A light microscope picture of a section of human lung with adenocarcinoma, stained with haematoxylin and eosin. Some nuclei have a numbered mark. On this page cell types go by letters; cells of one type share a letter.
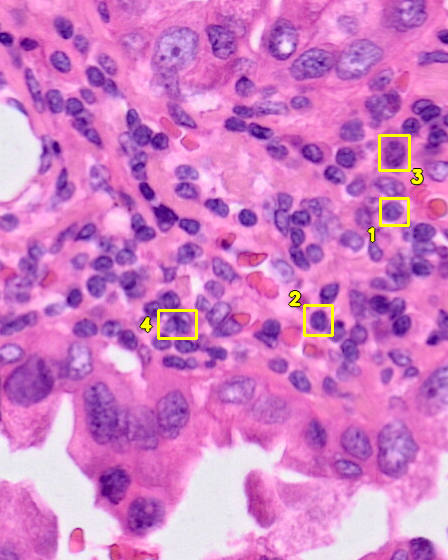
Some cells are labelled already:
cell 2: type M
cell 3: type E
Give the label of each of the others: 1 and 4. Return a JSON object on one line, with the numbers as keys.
{"1": "type M", "4": "type M"}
